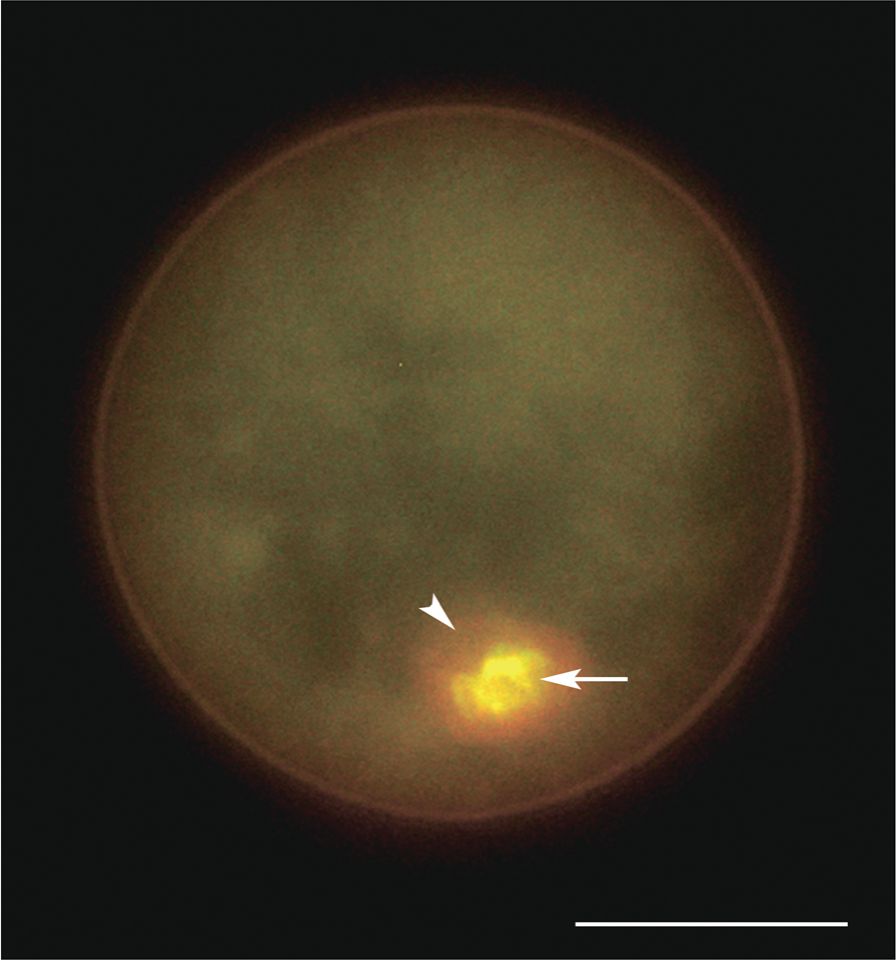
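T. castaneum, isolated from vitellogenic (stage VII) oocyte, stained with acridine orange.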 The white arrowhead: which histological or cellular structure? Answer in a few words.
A: Karyosphere capsule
